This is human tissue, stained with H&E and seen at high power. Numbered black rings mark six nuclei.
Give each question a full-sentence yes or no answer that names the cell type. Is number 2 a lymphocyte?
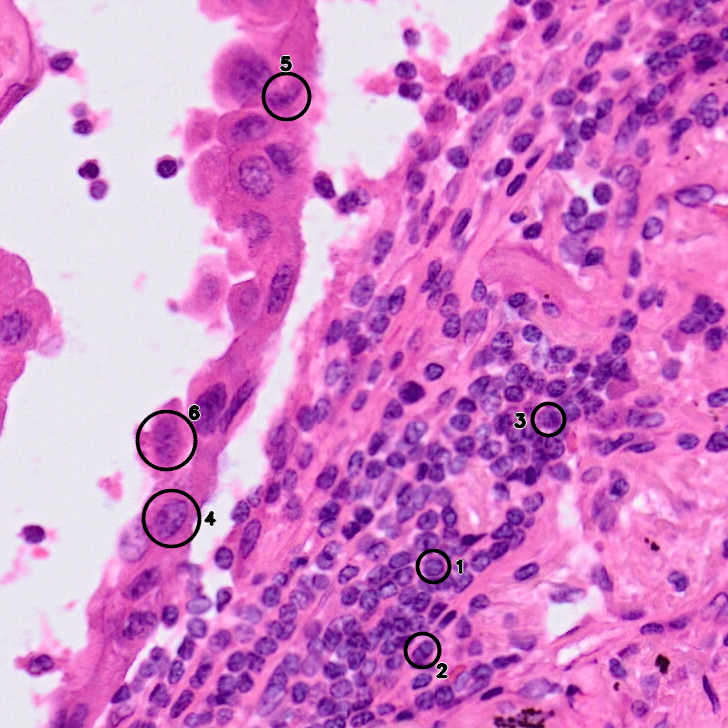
Yes, in this tissue section, number 2 is a lymphocyte.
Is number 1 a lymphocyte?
Yes, cell number 1 in this section is a lymphocyte.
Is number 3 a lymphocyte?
Yes, the cell with its nucleus marked 3 is a lymphocyte.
